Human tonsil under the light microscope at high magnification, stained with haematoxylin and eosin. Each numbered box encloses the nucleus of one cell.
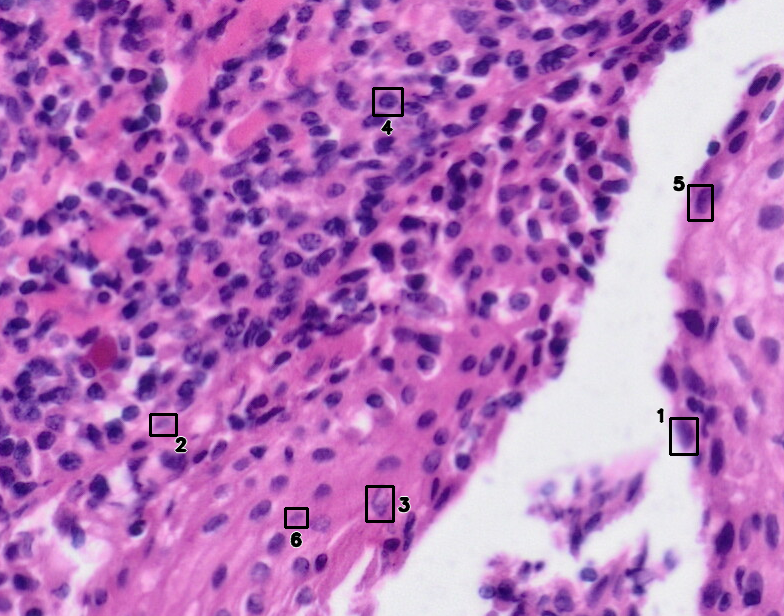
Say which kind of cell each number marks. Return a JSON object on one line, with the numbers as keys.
{"1": "squamous epithelial cell", "2": "endothelial cell", "3": "squamous epithelial cell", "4": "plasma cell", "5": "squamous epithelial cell", "6": "squamous epithelial cell"}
